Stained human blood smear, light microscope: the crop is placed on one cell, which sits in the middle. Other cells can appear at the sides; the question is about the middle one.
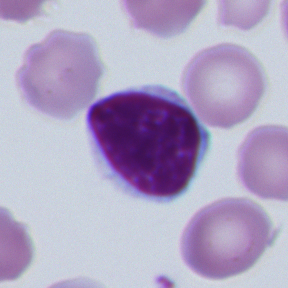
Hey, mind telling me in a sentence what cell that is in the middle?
Here the centrally located cell is a lymphocyte.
